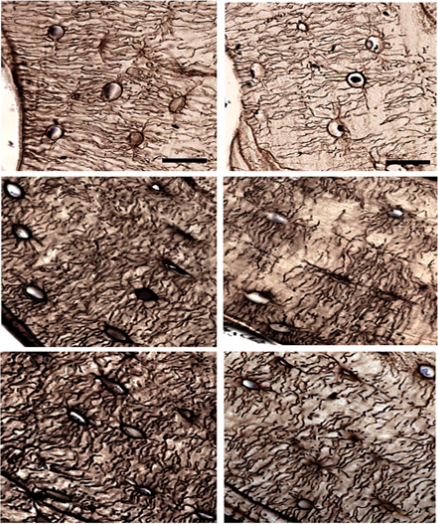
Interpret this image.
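Cortical bone with osteocyte lacunae seen as small oval to spindle-shaped cavities spaced through a pale tan to brown matrix. Fine dark-brown canaliculi radiate from each lacuna and branch into a web between neighbouring lacunae.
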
